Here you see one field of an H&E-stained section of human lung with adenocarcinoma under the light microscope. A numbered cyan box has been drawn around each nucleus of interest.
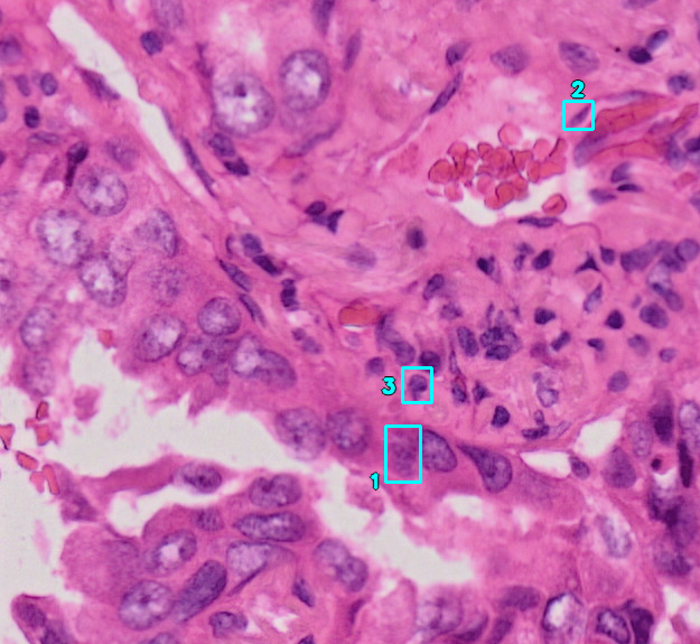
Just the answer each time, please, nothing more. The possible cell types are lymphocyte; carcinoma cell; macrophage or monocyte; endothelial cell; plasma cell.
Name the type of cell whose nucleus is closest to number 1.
carcinoma cell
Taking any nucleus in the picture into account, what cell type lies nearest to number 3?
plasma cell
